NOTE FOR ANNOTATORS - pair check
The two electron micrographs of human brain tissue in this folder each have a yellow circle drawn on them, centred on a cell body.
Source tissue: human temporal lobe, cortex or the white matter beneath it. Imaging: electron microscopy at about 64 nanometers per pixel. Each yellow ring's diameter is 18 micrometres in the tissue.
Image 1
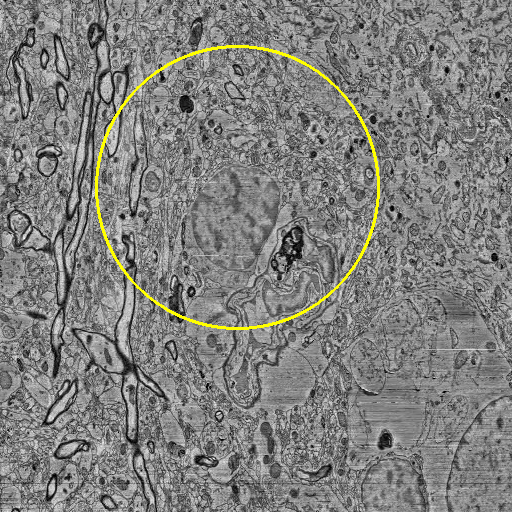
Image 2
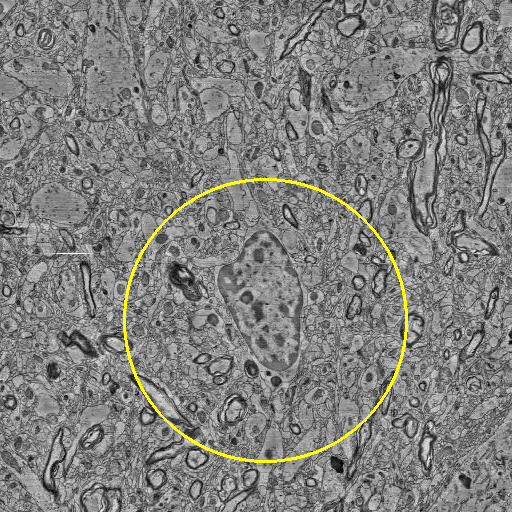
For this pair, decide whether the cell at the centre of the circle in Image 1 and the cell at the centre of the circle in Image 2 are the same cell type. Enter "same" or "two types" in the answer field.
two types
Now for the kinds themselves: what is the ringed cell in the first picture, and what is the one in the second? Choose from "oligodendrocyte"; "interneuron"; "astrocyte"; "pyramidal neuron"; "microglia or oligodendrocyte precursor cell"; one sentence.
Here the first cell is an oligodendrocyte and the second cell is a microglial cell or oligodendrocyte precursor cell.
